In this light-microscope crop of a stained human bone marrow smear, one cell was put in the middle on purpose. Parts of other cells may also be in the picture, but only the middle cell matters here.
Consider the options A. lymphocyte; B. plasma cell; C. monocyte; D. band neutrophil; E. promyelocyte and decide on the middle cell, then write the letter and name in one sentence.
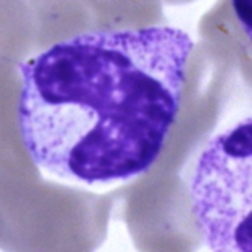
Correctly, option D names the cell in the middle a band neutrophil.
